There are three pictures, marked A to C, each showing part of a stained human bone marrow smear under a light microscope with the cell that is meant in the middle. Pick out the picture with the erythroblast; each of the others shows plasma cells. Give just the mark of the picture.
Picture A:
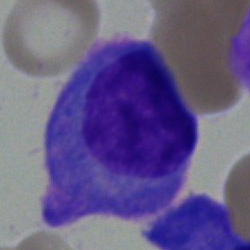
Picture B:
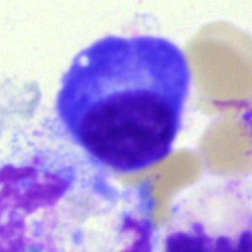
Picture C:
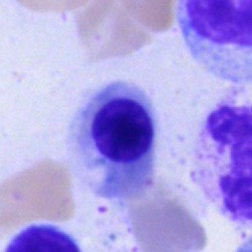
C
